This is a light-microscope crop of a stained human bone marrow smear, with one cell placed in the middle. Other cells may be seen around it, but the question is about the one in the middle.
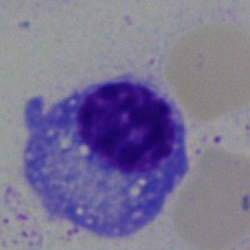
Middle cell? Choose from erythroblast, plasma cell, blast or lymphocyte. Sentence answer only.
What sits at the centre of this crop is a plasma cell.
